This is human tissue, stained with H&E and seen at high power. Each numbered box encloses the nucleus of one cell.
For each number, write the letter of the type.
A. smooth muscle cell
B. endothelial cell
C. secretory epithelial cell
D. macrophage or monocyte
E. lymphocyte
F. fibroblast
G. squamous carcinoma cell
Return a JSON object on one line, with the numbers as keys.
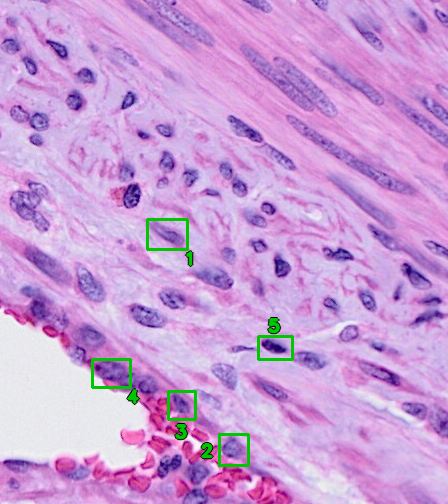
{"1": "A", "2": "B", "3": "B", "4": "B", "5": "E"}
